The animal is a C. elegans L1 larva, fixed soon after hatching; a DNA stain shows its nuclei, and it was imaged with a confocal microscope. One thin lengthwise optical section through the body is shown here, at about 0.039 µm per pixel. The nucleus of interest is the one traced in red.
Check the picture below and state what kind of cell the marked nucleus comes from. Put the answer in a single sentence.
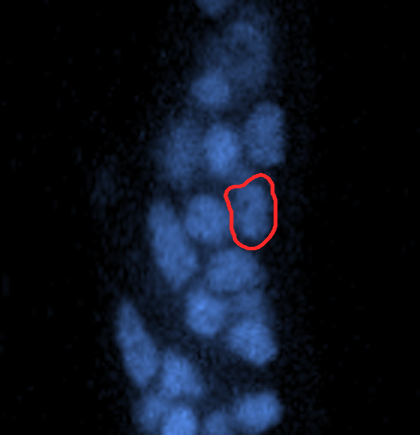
This nucleus is from an enteric muscle cell.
